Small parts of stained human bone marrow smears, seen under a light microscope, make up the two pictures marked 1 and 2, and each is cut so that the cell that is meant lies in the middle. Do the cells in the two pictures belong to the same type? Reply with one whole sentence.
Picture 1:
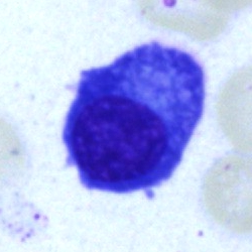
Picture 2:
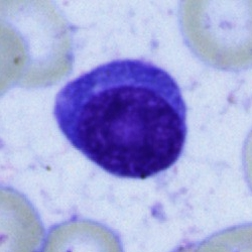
Yes, the two pictures both show plasma cells.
